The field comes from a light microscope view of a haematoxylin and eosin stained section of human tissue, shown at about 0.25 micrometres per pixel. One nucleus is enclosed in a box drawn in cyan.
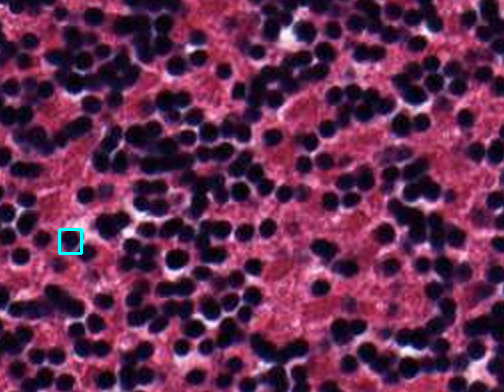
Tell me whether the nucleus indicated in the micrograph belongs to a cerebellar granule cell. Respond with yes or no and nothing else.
yes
